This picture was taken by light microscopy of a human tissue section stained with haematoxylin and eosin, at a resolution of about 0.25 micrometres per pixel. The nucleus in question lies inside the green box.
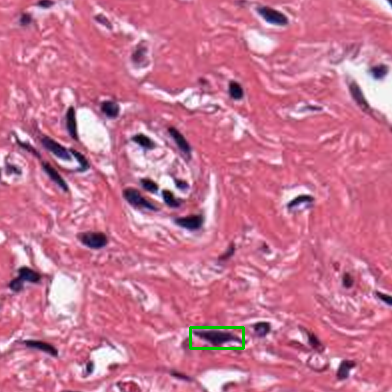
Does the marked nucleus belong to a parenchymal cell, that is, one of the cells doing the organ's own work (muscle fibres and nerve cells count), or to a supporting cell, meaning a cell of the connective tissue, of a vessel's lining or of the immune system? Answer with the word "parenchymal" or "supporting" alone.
supporting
